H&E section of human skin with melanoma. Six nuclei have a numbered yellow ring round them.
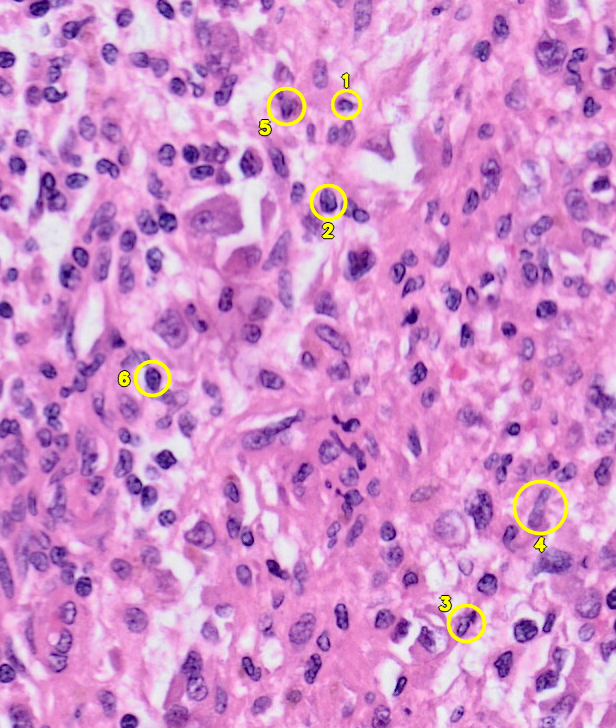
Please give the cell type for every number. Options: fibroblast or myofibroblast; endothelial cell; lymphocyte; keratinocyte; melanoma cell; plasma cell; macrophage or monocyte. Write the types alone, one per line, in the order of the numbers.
lymphocyte
lymphocyte
macrophage or monocyte
macrophage or monocyte
macrophage or monocyte
lymphocyte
